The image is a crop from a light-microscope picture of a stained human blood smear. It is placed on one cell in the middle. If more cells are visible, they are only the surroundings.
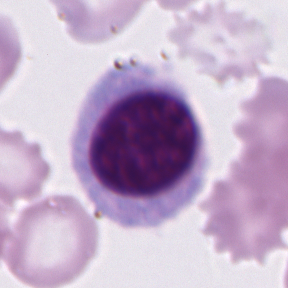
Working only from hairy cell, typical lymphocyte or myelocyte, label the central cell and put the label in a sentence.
The cell centered in this field of view is a hairy cell.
